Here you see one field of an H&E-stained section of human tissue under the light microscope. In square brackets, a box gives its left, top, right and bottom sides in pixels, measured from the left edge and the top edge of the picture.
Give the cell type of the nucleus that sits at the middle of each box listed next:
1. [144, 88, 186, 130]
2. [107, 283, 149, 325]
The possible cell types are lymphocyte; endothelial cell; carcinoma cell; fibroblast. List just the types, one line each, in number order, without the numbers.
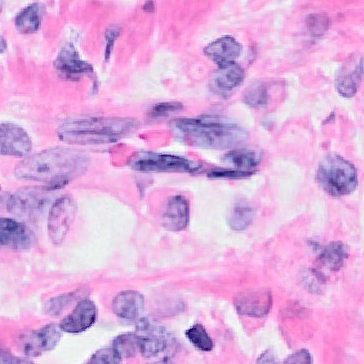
endothelial cell
carcinoma cell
